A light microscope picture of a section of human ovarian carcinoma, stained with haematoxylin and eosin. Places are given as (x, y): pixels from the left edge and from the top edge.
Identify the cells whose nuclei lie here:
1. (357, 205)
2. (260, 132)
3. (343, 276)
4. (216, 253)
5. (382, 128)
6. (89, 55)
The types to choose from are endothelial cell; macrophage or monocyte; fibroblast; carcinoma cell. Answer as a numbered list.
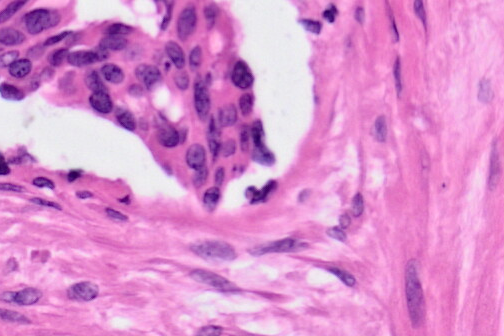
1. fibroblast
2. carcinoma cell
3. fibroblast
4. fibroblast
5. fibroblast
6. carcinoma cell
